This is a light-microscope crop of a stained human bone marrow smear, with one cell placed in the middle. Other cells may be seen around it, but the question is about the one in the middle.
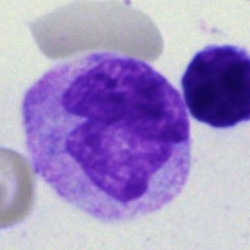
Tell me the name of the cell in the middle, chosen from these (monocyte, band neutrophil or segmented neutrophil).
monocyte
